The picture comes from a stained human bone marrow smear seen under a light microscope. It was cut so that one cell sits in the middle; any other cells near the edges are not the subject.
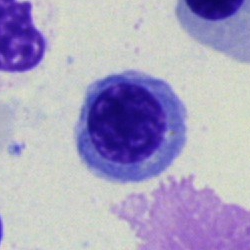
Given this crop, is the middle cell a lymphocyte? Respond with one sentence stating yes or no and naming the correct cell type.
No, the middle cell is actually an erythroblast rather than a lymphocyte.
